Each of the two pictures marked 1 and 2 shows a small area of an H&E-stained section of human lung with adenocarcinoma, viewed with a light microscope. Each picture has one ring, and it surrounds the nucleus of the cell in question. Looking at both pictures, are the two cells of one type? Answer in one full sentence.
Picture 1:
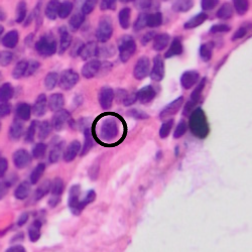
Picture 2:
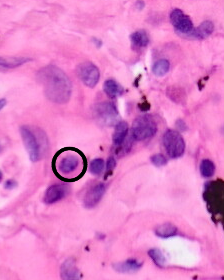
No. Picture 1 shows a lymphocyte, but picture 2 shows a mast cell.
